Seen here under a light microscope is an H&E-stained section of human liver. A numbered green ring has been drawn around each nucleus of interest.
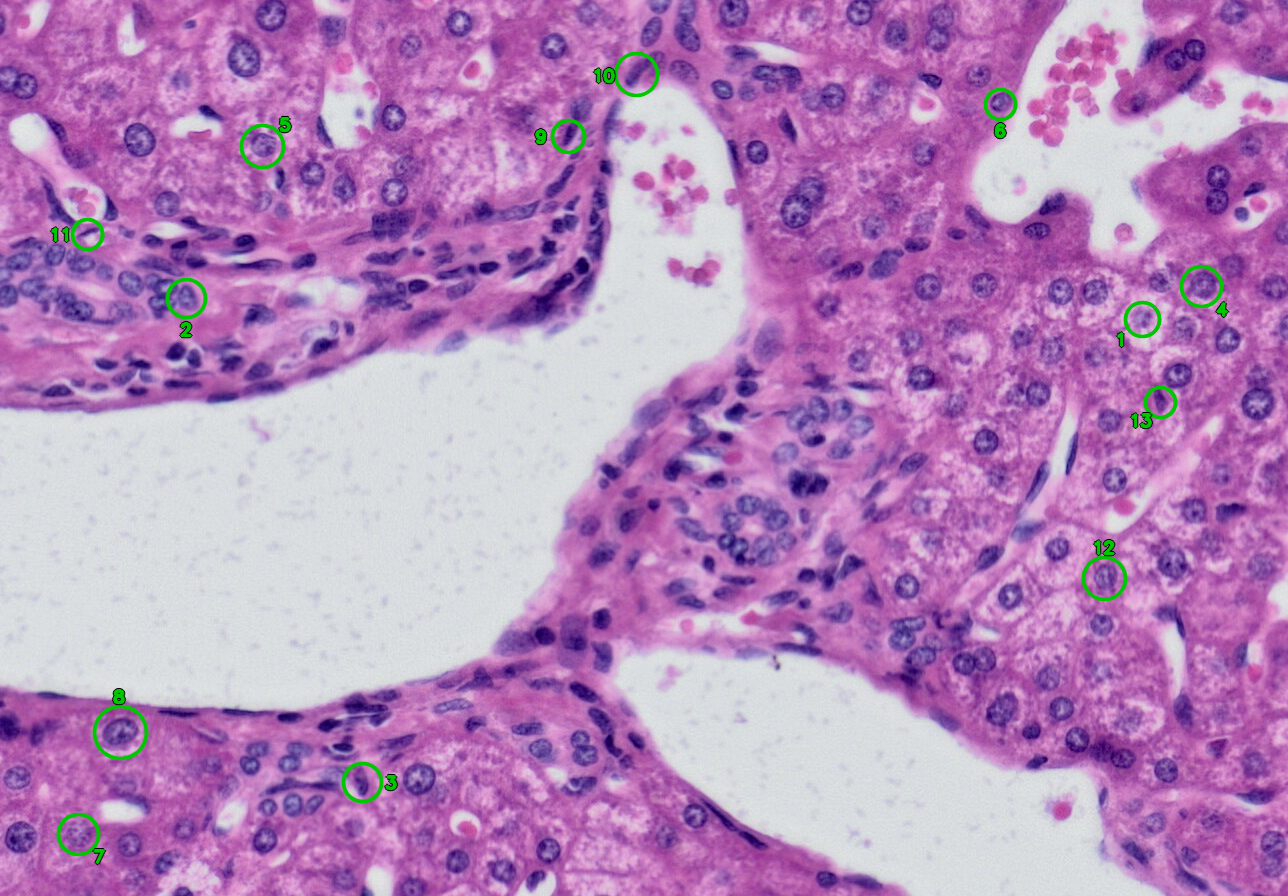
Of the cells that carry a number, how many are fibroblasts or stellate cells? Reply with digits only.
5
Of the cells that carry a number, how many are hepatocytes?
6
